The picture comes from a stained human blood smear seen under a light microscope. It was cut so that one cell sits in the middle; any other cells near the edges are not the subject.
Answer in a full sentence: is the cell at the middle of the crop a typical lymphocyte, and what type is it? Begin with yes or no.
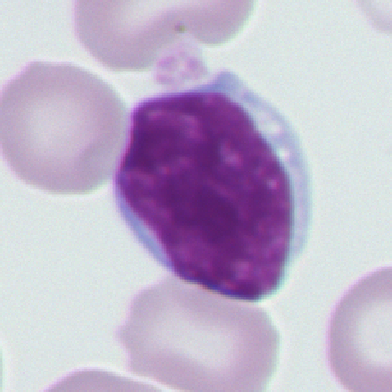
Yes, the centre of the crop holds a typical lymphocyte.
